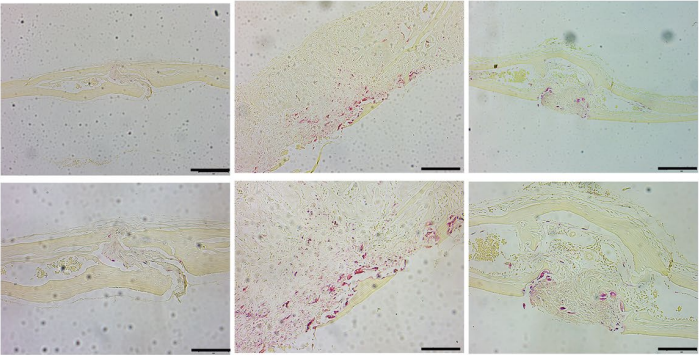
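Sections of flat skull bone, shown in two rows at lower and higher magnification across three columns, with the bone matrix appearing pale yellow and unstained against a clear background. In the middle column the bone is disrupted and surrounded by loose, irregular tissue, with many small magenta-red stained cells scattered along the eroded bone surfaces and in the adjacent tissue. In the right column the plate is partly disrupted, with fewer magenta-red cells gathered in small clusters at the bone surface.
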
